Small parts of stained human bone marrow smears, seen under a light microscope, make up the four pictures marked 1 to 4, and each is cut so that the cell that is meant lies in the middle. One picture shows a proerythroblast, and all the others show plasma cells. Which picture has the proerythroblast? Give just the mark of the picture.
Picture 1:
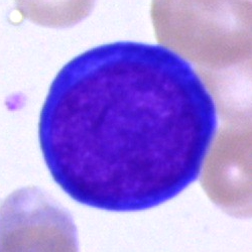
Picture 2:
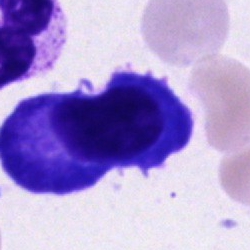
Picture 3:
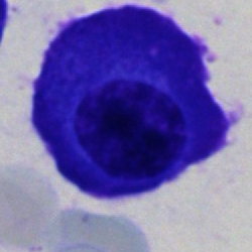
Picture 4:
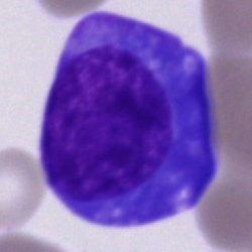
1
